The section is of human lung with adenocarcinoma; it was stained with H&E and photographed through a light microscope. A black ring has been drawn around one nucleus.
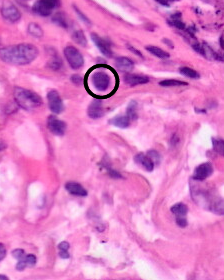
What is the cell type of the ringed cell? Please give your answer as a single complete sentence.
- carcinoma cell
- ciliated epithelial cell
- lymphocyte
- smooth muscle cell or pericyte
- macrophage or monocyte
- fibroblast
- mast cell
Labelled by cell type, the ringed cell is a lymphocyte.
